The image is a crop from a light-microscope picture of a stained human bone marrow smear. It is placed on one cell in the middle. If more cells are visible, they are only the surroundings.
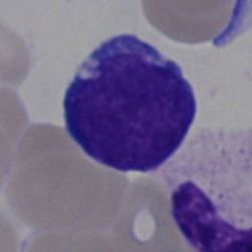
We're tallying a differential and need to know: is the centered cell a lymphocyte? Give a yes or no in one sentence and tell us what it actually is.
No, the cell in the middle is a blast; it is not a lymphocyte.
